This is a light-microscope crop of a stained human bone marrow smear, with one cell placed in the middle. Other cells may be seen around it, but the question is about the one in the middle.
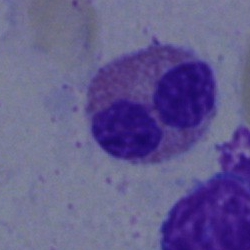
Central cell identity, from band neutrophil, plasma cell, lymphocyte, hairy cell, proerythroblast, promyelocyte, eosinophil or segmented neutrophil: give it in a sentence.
The central cell in this smear crop is an eosinophil.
